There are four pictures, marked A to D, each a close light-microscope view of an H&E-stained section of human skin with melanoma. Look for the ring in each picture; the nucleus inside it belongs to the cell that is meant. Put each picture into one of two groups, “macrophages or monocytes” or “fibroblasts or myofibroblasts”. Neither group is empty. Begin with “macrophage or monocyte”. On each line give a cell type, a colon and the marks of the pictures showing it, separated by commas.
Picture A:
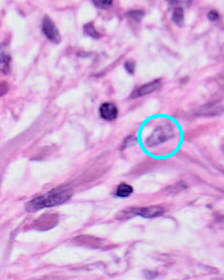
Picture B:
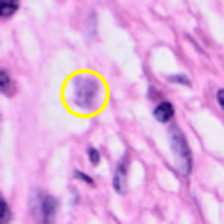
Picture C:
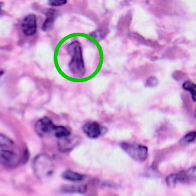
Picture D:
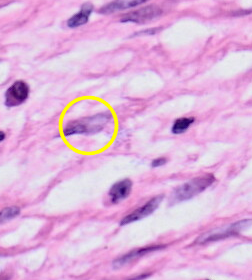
macrophage or monocyte: C
fibroblast or myofibroblast: A, B, D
